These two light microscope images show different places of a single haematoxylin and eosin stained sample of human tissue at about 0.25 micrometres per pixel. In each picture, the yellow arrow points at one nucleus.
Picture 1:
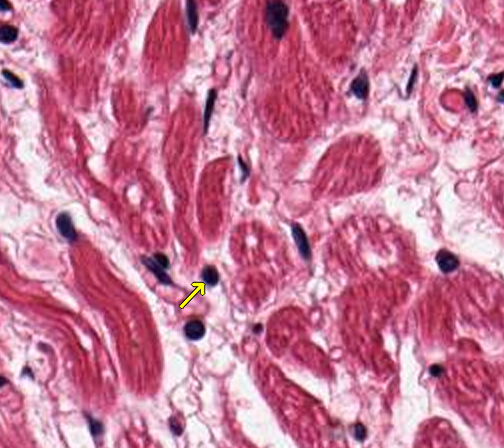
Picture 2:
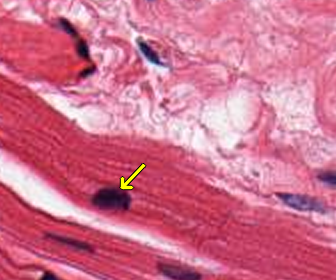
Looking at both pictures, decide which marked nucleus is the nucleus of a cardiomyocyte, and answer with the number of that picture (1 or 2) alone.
2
